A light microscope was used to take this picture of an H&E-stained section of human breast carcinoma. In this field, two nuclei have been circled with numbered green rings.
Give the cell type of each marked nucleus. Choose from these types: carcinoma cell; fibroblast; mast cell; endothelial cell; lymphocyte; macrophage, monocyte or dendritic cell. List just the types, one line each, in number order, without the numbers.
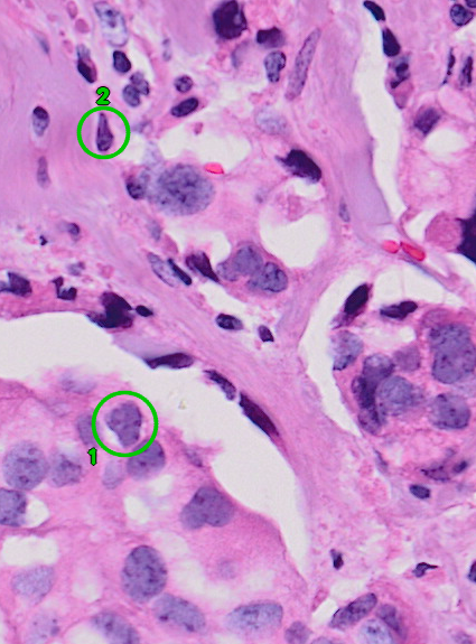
carcinoma cell
lymphocyte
